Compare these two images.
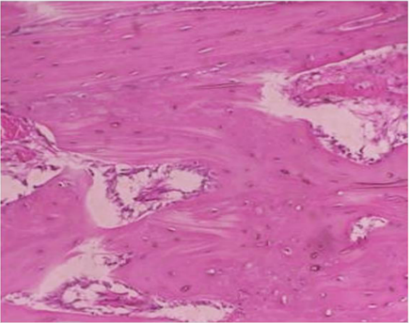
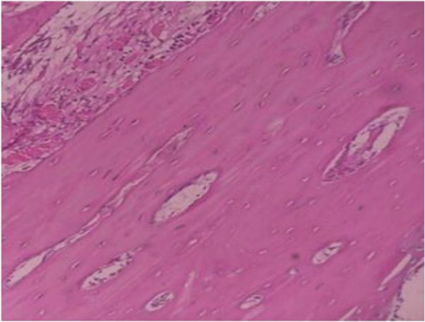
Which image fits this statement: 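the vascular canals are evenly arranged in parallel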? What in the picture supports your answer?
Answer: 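The second image. First image: spaces in the bone are of varied shape and size and run in different directions. Second image: narrow elongated canals run parallel to one another through the bone.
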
